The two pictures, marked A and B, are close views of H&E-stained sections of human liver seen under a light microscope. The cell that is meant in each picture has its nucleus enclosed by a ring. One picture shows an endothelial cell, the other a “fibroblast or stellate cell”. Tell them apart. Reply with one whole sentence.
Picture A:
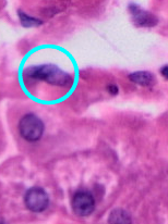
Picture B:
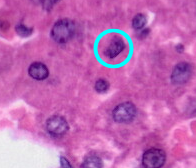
Picture A shows a “fibroblast or stellate cell” and picture B shows an endothelial cell.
